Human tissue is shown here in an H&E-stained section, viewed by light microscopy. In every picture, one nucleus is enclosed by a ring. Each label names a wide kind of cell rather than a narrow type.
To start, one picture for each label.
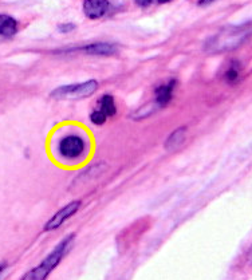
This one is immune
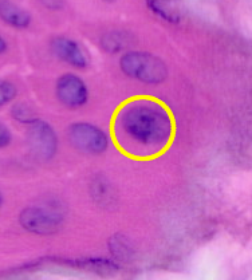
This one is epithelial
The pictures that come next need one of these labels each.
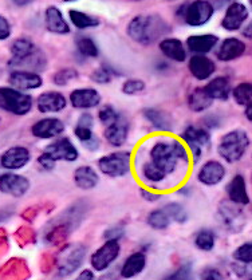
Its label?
immune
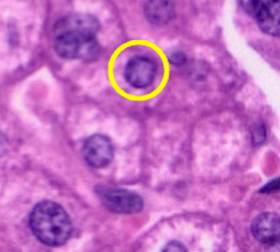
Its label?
epithelial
